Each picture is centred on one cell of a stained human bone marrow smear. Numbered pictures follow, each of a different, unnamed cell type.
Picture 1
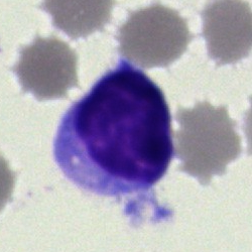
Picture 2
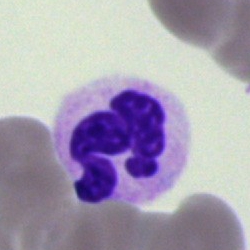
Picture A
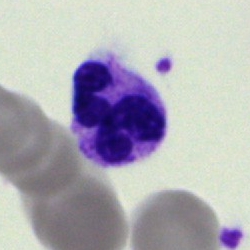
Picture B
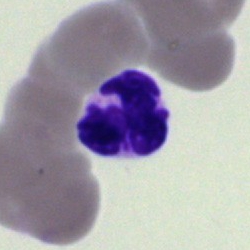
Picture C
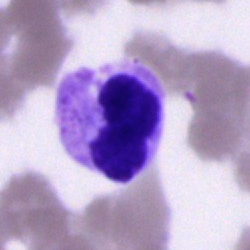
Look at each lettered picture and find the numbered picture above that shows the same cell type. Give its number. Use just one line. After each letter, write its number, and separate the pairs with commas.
A 2, B 2, C 2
